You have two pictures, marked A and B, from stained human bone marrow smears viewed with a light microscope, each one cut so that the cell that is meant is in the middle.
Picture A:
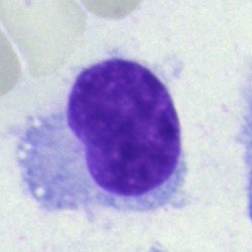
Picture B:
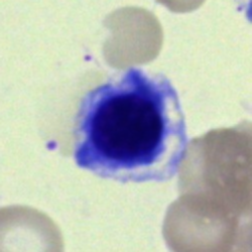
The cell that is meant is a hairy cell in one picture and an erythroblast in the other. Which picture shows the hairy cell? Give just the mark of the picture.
A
